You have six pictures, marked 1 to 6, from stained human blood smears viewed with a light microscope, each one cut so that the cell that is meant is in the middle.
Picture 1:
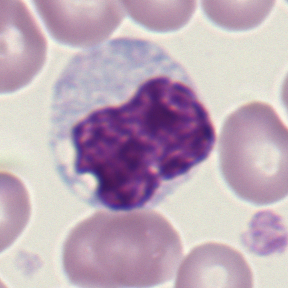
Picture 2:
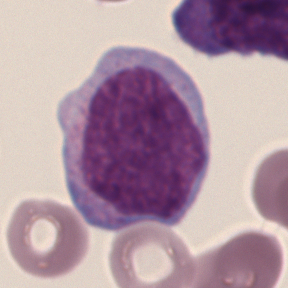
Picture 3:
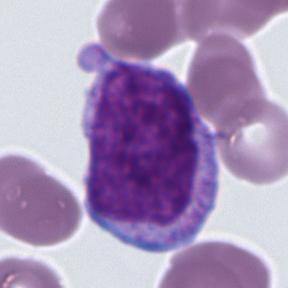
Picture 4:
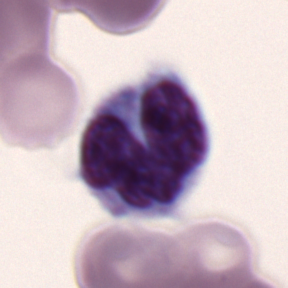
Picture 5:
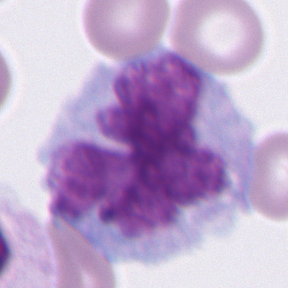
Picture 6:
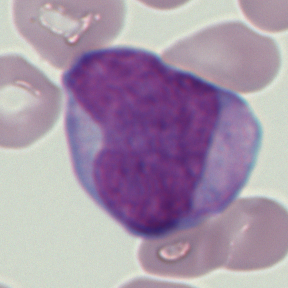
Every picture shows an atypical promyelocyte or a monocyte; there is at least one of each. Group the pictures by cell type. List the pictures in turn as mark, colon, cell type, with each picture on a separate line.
1: monocyte
2: atypical promyelocyte
3: atypical promyelocyte
4: monocyte
5: monocyte
6: atypical promyelocyte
